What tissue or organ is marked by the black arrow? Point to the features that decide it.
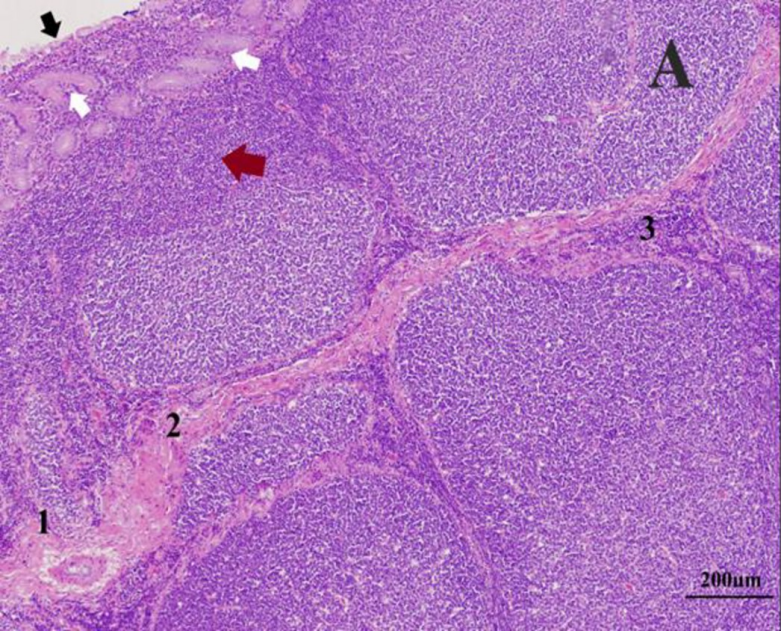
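The black arrow points to the thin surface layer at the free edge of the tissue, top left.
Answer: epithelium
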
